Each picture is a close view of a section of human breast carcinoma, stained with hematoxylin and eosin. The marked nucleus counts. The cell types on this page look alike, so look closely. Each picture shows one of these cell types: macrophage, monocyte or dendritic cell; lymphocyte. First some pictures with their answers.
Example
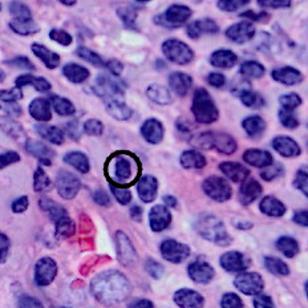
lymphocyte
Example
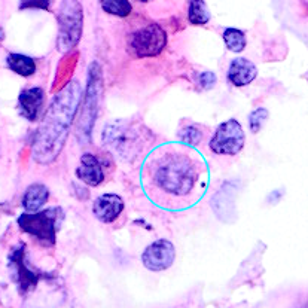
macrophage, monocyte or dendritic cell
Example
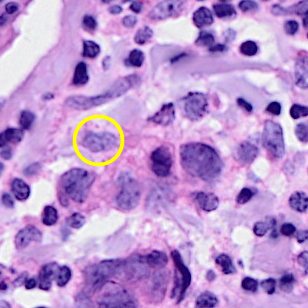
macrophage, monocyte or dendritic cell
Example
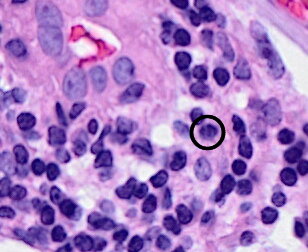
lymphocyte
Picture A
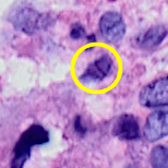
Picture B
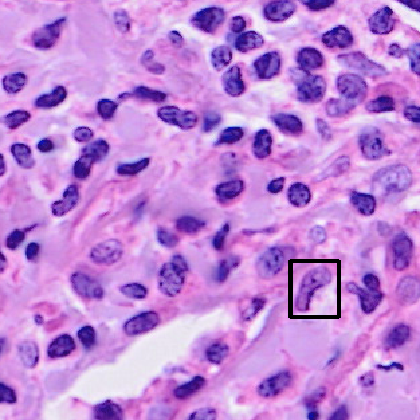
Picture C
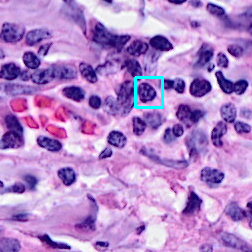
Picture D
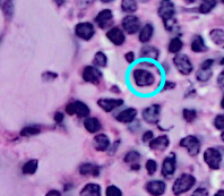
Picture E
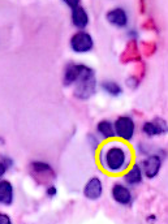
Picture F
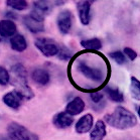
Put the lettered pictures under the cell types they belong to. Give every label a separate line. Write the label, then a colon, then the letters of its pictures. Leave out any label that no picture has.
macrophage, monocyte or dendritic cell: A, B
lymphocyte: C, D, E, F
